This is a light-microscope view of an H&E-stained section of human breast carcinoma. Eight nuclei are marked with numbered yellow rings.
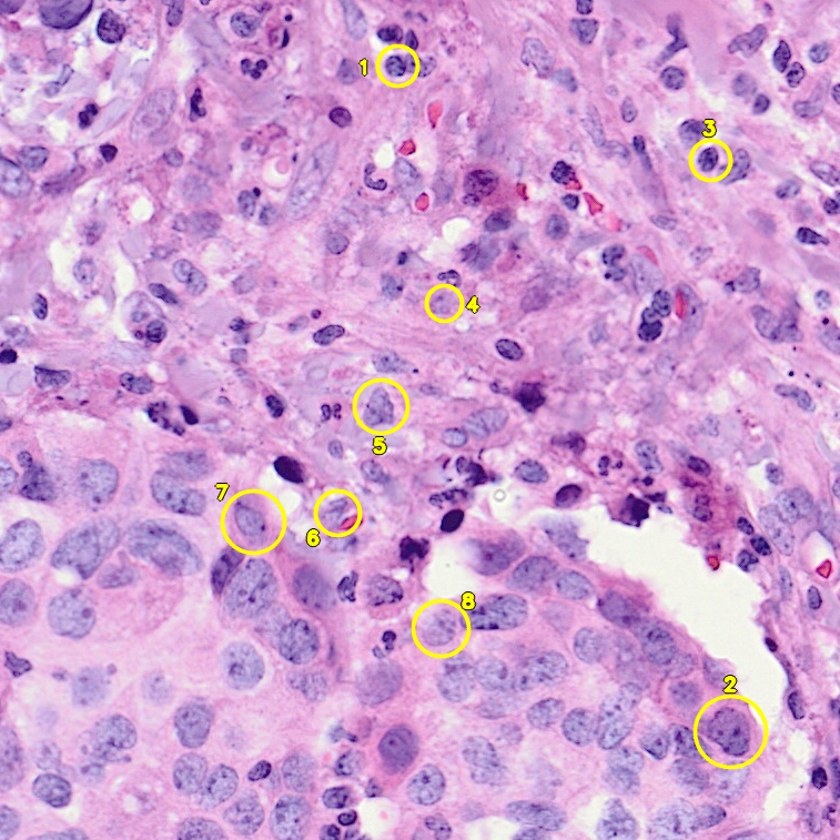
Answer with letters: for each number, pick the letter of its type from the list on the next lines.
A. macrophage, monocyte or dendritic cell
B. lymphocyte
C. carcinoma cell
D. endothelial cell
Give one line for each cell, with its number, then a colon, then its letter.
1: B
2: C
3: B
4: A
5: A
6: D
7: C
8: C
